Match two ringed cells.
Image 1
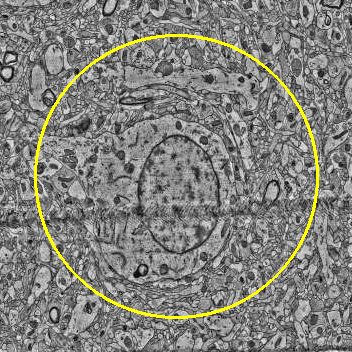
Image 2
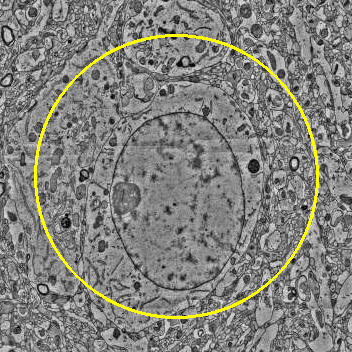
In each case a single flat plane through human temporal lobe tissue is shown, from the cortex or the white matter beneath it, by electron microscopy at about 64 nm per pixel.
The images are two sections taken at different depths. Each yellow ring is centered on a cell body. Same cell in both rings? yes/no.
yes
